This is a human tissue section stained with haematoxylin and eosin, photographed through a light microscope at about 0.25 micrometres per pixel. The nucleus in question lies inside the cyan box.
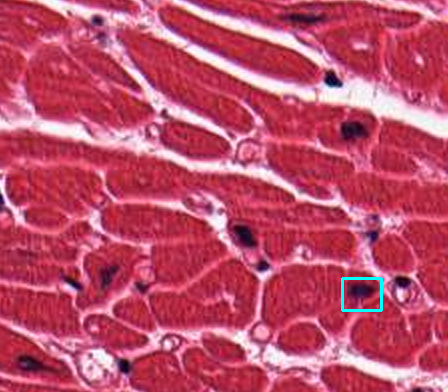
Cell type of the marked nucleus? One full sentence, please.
Here the marked nucleus is part of a cardiomyocyte.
